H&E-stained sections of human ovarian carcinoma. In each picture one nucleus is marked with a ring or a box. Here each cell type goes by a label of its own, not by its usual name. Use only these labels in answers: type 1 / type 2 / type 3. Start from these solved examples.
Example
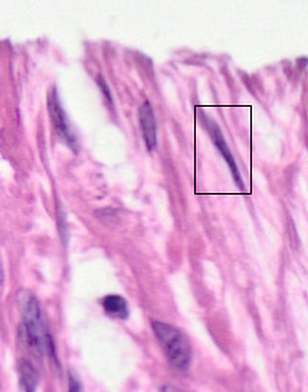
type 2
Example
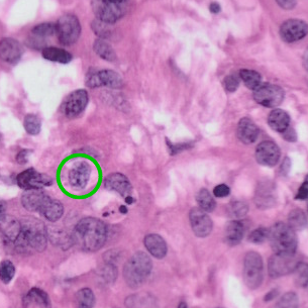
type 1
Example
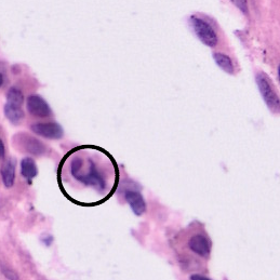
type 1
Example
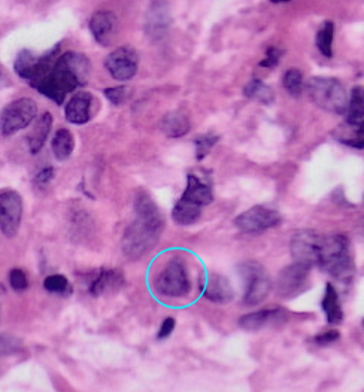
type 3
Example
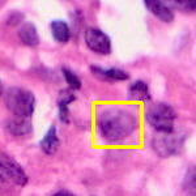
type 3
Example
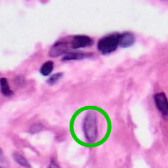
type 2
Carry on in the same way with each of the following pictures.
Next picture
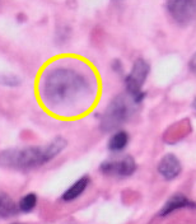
type 2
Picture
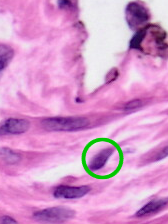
type 2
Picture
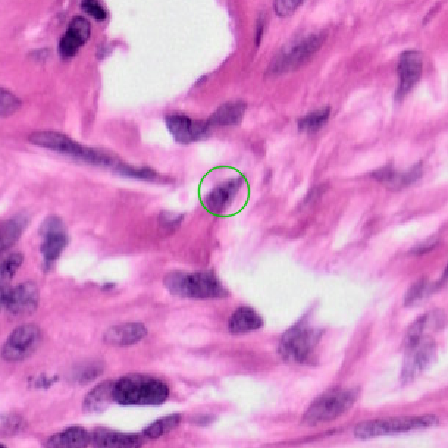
type 2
